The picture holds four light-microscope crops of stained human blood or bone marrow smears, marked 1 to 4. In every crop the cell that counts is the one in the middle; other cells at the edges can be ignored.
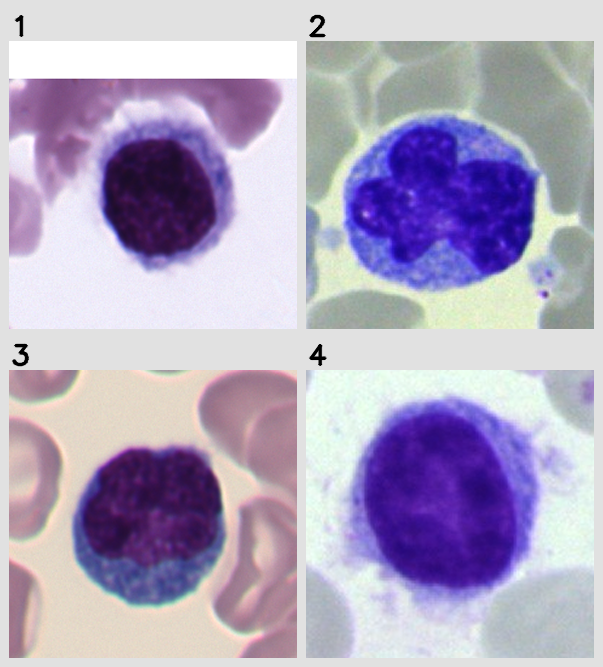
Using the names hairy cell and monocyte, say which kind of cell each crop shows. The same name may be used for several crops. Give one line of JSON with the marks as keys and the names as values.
{"1": "hairy cell", "2": "monocyte", "3": "monocyte", "4": "hairy cell"}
